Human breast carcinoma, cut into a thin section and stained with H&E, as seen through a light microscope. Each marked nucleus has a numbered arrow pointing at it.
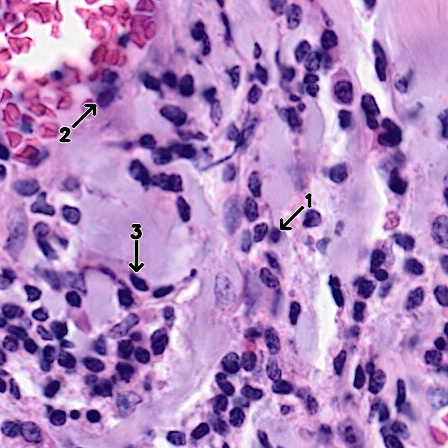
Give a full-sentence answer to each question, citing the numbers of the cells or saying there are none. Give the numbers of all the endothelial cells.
A single numbered cell, cell 2, is an endothelial cell.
